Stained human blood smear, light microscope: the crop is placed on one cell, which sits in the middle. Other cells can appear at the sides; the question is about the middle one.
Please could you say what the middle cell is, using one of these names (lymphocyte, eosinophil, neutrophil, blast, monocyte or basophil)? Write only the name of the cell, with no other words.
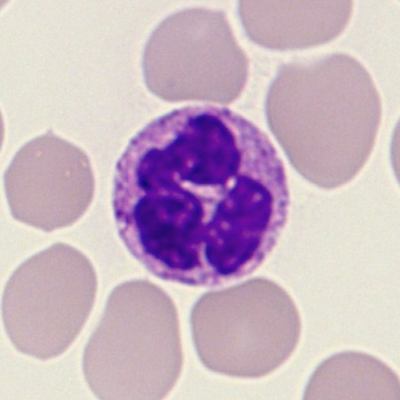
basophil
